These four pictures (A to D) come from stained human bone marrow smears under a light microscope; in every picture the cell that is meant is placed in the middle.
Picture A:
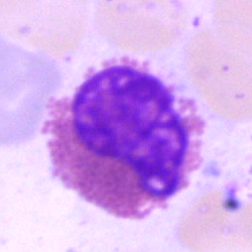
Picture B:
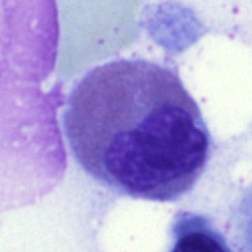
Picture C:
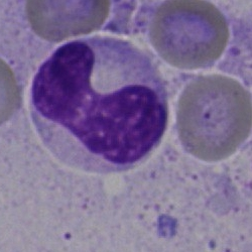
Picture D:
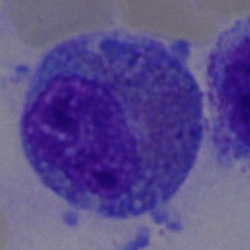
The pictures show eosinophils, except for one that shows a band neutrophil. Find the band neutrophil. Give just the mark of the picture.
C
